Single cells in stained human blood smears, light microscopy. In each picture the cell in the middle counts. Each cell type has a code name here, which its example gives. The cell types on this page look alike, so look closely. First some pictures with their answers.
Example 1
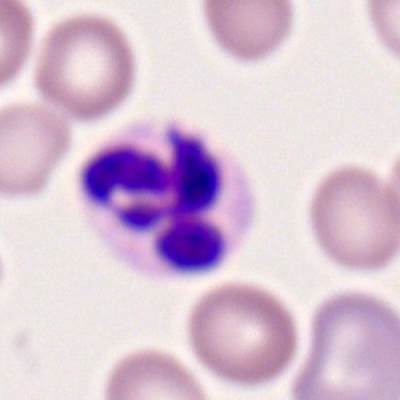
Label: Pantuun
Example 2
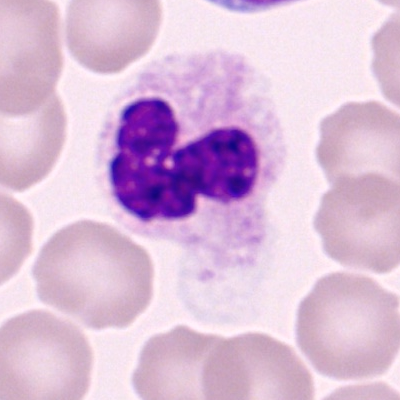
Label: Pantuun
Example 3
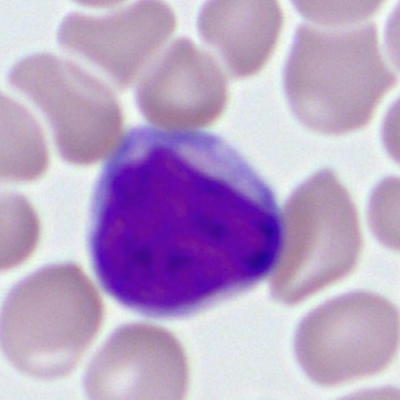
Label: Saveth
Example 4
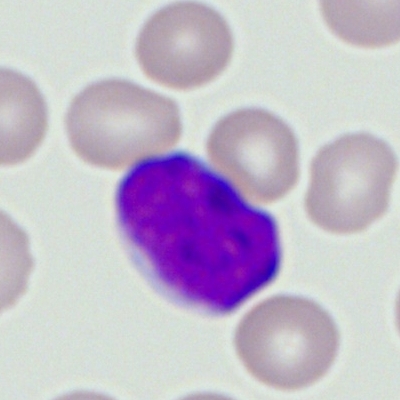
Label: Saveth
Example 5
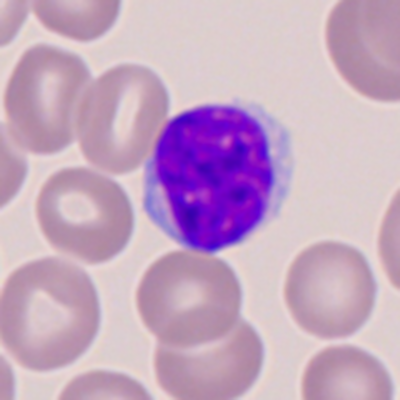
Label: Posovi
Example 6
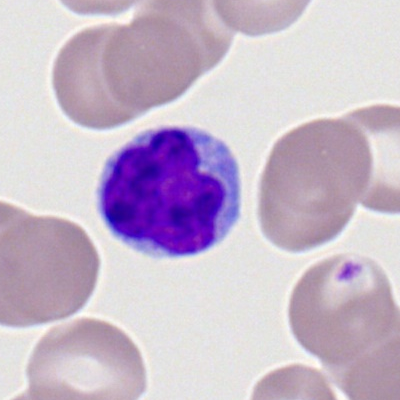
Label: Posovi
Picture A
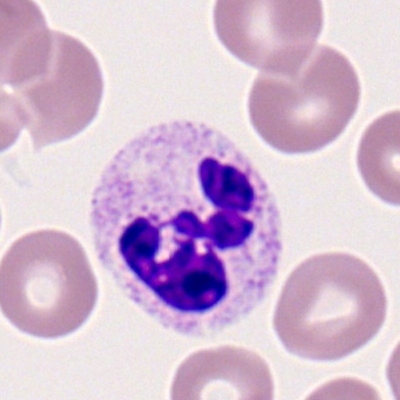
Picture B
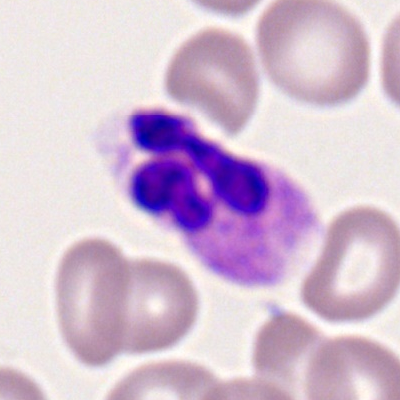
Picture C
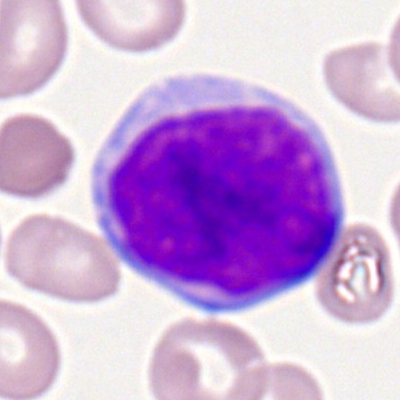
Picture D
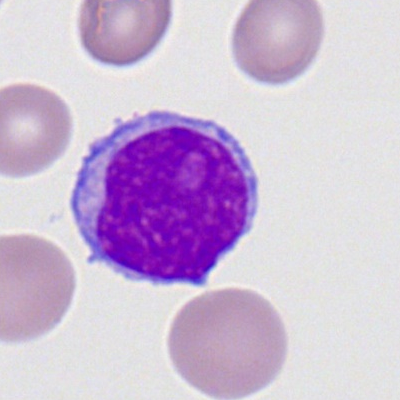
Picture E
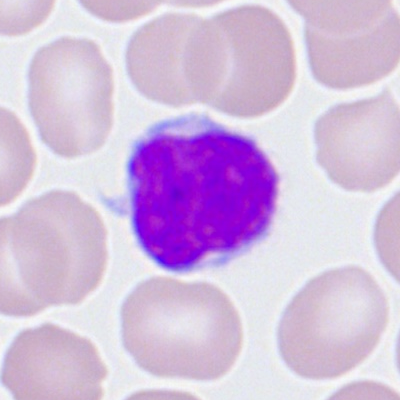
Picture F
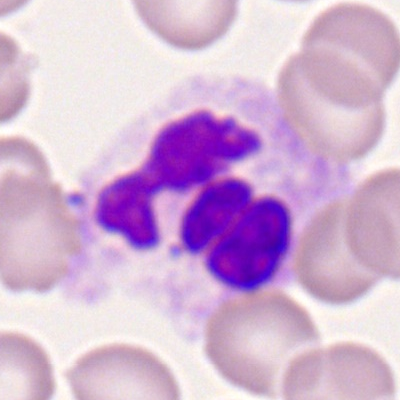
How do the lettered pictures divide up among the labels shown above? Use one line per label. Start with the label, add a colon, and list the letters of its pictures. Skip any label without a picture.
Pantuun: A, B, F
Saveth: C, D
Posovi: E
